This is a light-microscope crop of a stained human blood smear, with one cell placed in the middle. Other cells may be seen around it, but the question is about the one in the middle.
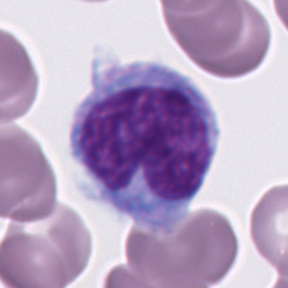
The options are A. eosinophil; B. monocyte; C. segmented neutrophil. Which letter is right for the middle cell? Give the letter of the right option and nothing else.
B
